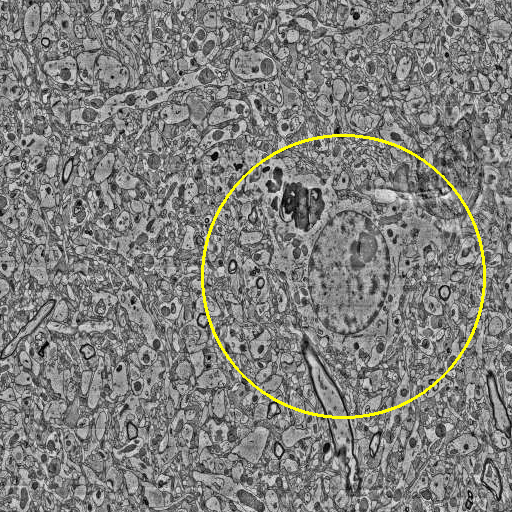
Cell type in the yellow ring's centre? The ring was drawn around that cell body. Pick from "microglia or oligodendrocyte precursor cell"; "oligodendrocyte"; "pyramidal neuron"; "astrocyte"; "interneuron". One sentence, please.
The ringed cell body is that of an astrocyte.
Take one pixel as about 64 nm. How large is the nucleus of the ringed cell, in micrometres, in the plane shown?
The nucleus of the ringed cell is approximately 8 by 6 micrometres in this plane.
